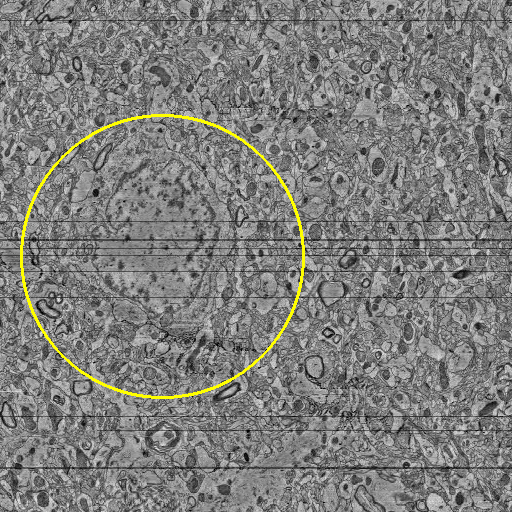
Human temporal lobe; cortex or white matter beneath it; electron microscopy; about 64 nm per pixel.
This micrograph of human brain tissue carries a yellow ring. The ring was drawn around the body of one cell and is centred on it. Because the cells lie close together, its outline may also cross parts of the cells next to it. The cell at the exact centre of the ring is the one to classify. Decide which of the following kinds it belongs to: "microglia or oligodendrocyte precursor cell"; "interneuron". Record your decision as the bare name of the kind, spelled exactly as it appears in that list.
interneuron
